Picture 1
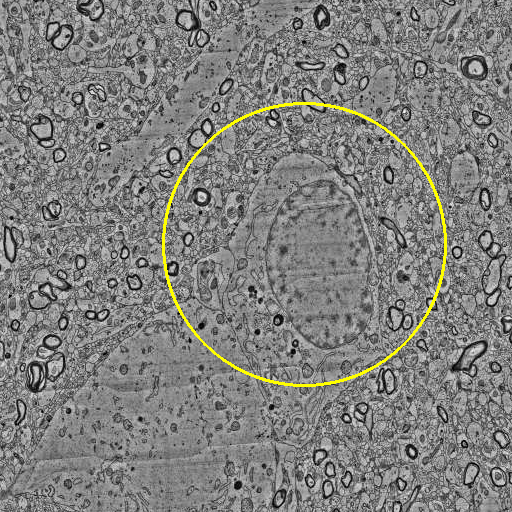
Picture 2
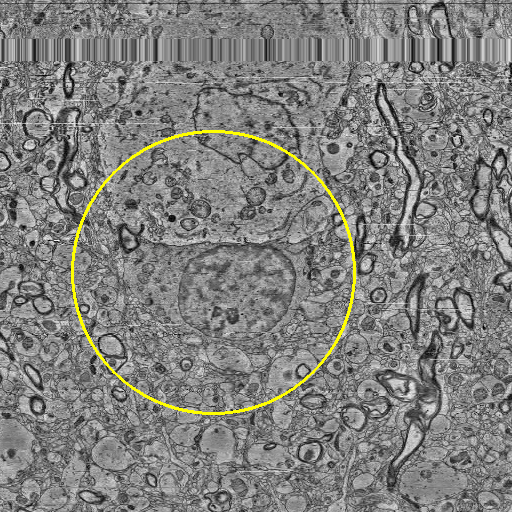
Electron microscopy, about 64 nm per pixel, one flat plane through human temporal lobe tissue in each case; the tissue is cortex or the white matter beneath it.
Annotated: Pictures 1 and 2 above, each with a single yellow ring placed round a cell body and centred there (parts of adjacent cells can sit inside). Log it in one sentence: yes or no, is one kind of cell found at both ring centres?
No, the ring centres of the two pictures hold cells of two kinds.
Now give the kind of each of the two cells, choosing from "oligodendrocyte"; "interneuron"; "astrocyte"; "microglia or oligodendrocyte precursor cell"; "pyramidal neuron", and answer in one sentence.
The cell in the first picture is an interneuron, and the cell in the second is an oligodendrocyte.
